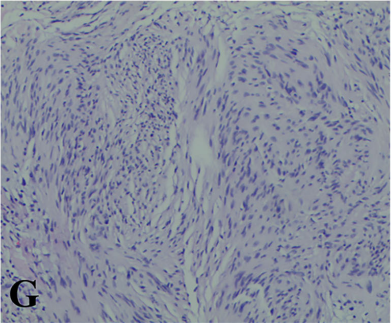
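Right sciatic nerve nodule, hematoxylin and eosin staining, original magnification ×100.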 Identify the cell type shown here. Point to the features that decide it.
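Elongated cells with slender, tapered nuclei. Cells lie densely packed in interlacing streams. So: tumor spindle cells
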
